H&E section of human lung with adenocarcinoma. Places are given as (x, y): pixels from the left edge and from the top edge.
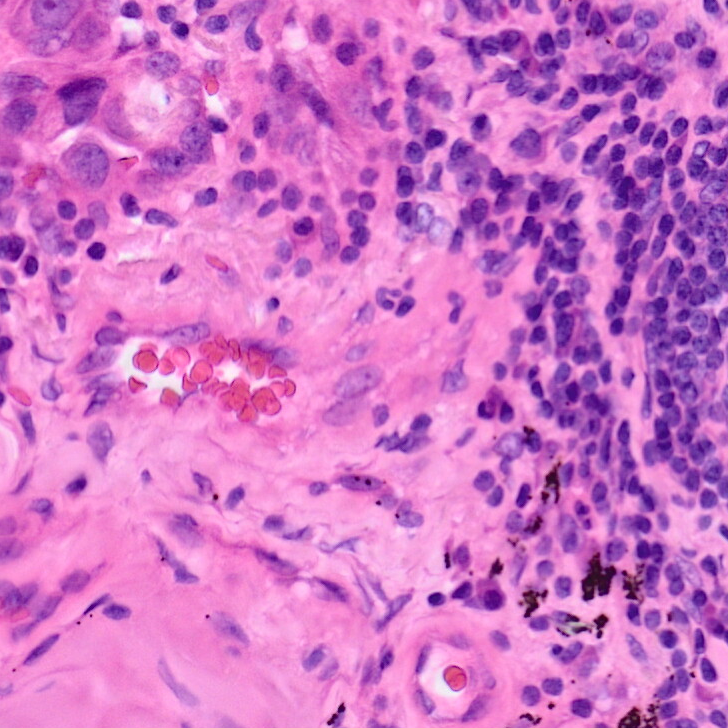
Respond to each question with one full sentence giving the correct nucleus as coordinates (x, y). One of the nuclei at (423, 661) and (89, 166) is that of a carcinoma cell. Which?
Of the pair, the nucleus positioned at (89, 166) is that of a carcinoma cell.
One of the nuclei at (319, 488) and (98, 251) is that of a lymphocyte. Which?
Identify the nucleus at (98, 251) as the one belonging to a lymphocyte.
